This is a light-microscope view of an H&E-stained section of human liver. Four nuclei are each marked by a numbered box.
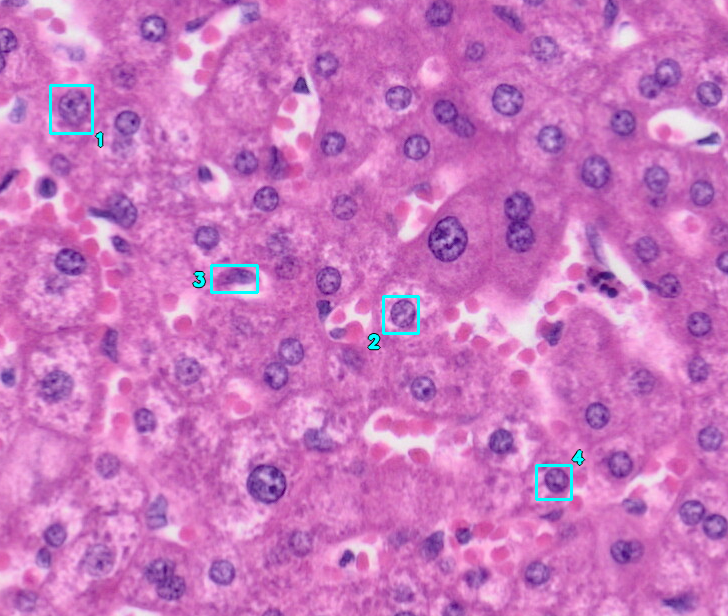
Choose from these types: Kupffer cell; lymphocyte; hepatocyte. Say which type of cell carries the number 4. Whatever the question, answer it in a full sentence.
Here the cell numbered 4 is a hepatocyte.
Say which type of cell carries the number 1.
The cell numbered 1 has been identified as a hepatocyte.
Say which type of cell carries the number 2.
The nucleus labelled 2 belongs to a hepatocyte.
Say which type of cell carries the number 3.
In this section, the cell tagged 3 is a Kupffer cell.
